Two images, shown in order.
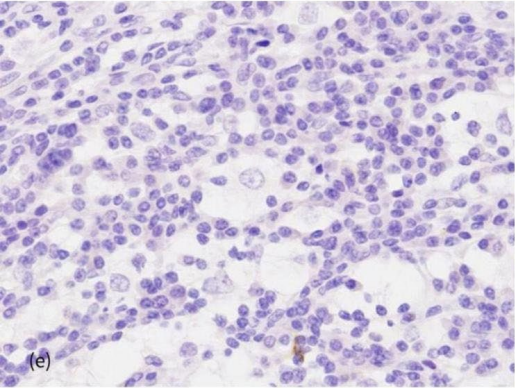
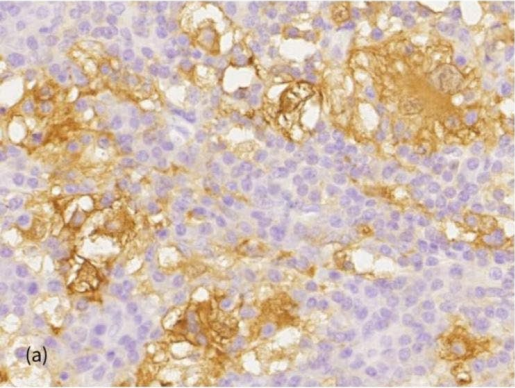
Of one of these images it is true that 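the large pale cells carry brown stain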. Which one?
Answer: the second image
